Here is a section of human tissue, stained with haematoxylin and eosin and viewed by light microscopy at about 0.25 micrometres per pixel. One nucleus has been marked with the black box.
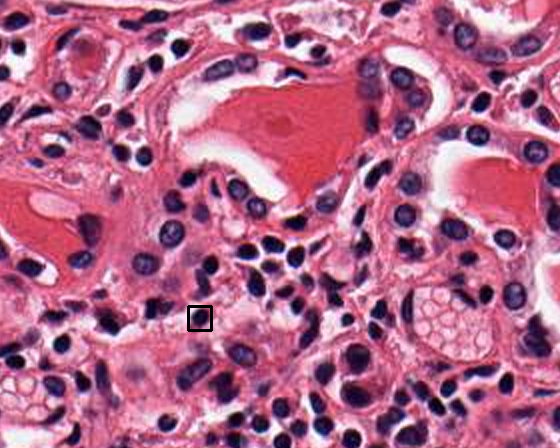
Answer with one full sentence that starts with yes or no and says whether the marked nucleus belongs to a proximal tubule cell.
No, the marked nucleus does not come from a proximal tubule cell but from a supporting cell.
